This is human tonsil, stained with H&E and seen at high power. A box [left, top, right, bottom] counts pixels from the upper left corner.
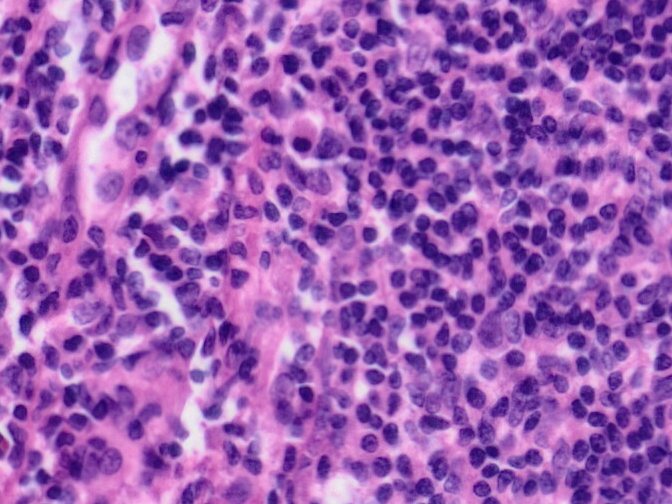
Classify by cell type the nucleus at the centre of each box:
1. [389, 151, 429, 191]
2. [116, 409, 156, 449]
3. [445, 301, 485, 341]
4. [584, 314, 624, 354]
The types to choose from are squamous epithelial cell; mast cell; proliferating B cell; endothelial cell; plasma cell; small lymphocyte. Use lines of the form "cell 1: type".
cell 1: small lymphocyte
cell 2: endothelial cell
cell 3: small lymphocyte
cell 4: small lymphocyte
